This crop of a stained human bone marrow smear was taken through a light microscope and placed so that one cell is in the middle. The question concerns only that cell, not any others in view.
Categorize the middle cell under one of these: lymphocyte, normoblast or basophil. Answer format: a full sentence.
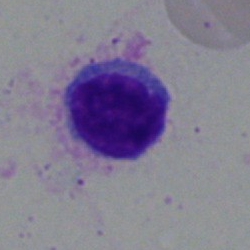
At the center of the crop sits a lymphocyte.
